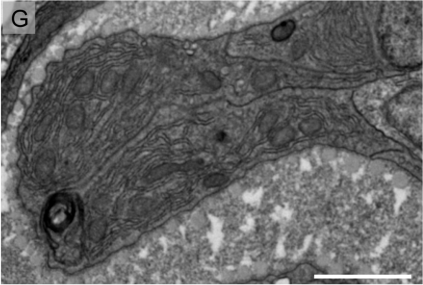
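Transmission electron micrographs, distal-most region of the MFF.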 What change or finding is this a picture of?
Bulging into the dermal space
